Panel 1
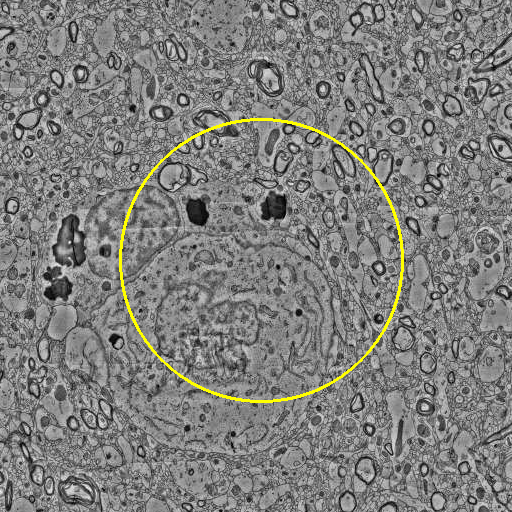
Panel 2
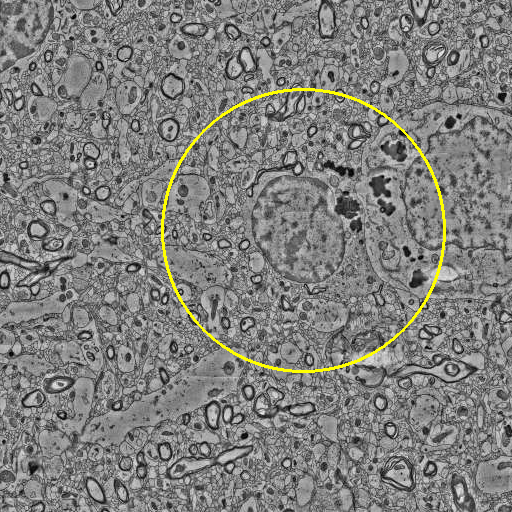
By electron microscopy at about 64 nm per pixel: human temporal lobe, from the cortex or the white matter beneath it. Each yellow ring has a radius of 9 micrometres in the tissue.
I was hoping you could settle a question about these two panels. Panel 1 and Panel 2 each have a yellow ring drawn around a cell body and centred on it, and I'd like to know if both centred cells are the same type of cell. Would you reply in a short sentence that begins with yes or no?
Yes, both are the same type of cell.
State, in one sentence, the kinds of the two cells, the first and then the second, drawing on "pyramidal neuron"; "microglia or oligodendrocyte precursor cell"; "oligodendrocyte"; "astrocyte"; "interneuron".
In the first picture and in the second, the ring is centred on an oligodendrocyte.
